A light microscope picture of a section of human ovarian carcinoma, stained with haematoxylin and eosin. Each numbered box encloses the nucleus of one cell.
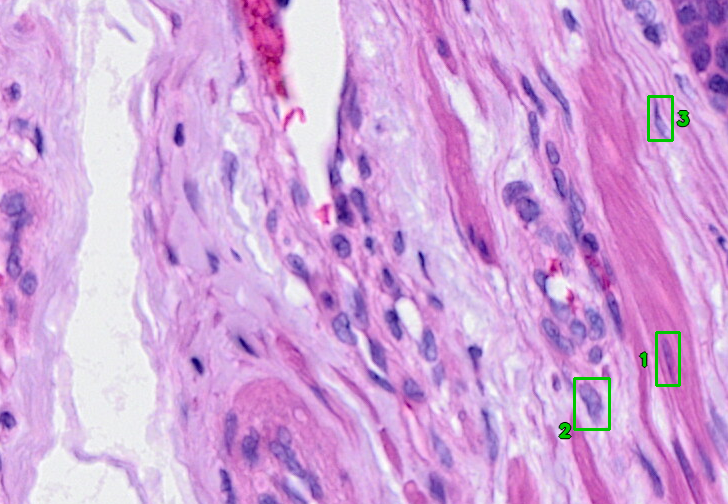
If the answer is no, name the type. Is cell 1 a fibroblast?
No, it is a smooth muscle cell.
